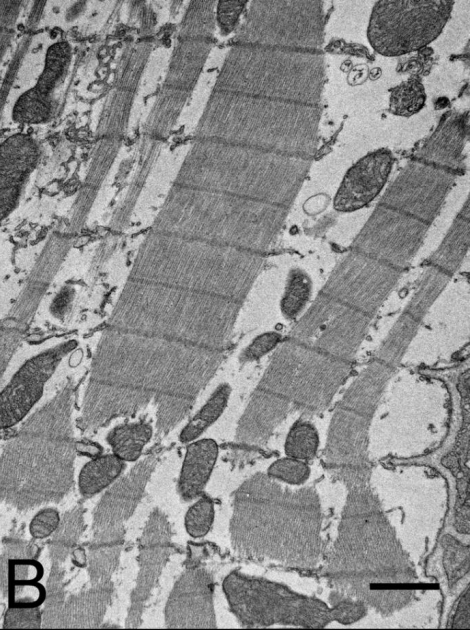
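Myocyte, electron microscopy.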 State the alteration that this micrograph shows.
Myofilament loss and intracellular edema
